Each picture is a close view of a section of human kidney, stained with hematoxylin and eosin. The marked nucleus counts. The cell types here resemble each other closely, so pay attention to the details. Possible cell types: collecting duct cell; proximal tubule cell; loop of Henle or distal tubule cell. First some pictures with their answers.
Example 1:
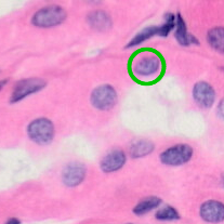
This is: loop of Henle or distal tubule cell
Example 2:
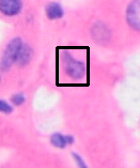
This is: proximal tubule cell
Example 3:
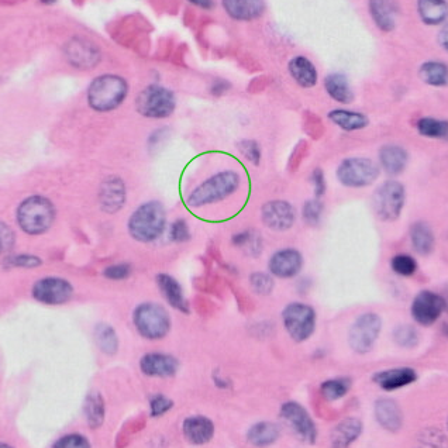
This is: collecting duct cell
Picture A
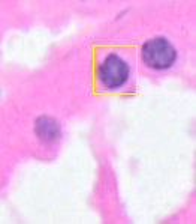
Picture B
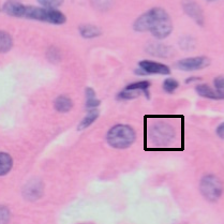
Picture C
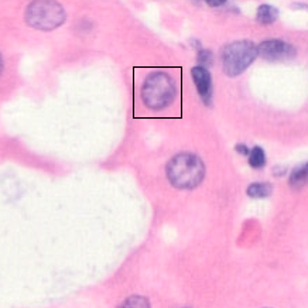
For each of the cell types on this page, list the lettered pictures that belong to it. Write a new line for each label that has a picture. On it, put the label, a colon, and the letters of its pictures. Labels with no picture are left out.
proximal tubule cell: B, C
loop of Henle or distal tubule cell: A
